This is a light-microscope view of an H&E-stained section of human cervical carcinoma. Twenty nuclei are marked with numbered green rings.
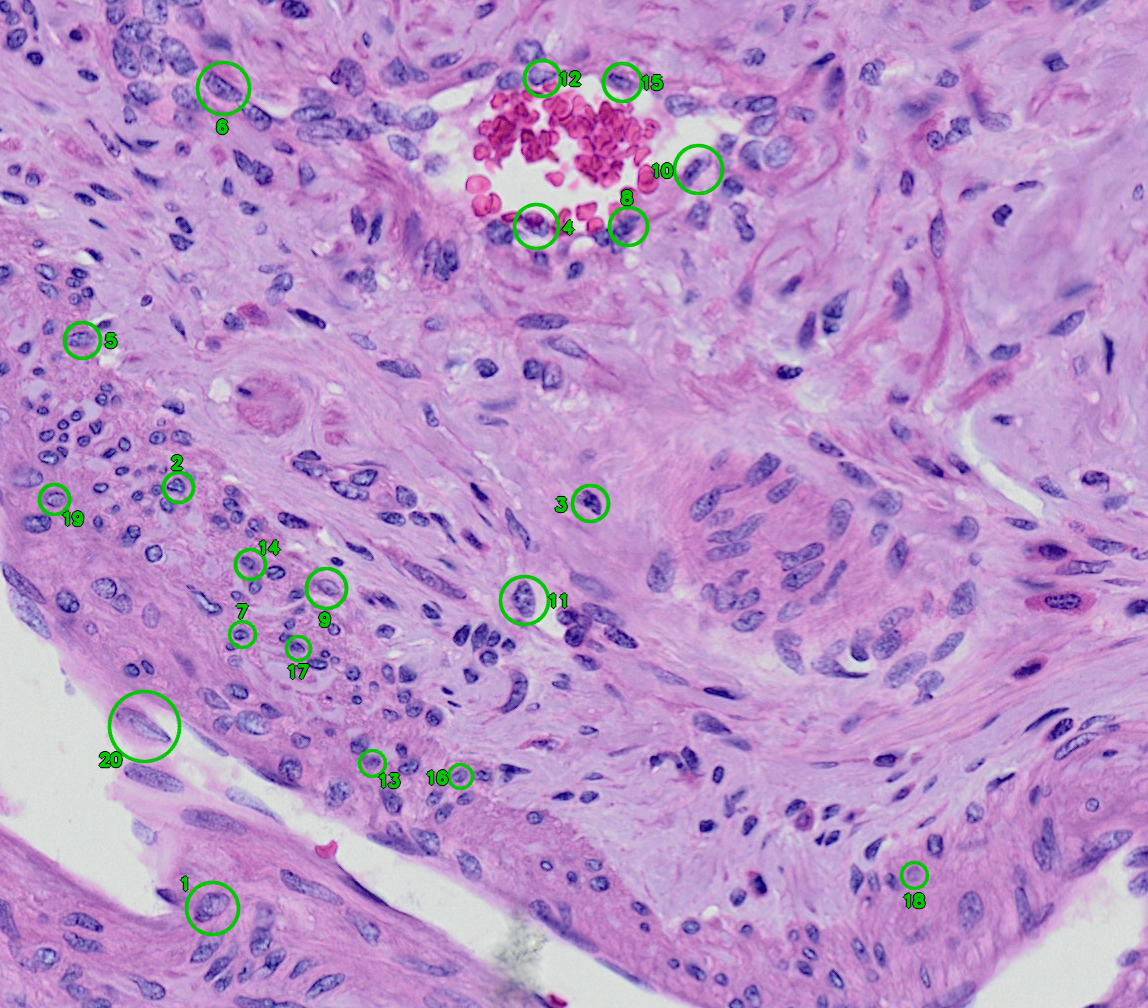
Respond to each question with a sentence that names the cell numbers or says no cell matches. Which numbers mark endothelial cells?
In short, the numbered cells 4, 6, 8, 10, 11, 12, 15 and 20 are endothelial cells.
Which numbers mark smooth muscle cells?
The cells picked out by numbers 1, 2, 5, 7, 9, 13, 14, 16, 17, 18 and 19 are smooth muscle cells.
